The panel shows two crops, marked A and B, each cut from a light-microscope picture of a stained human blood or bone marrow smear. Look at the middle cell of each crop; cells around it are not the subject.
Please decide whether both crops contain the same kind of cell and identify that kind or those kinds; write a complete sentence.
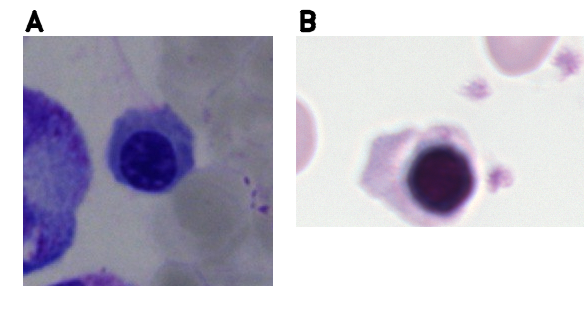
Yes, the cells at the centre of both crops are normoblasts.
